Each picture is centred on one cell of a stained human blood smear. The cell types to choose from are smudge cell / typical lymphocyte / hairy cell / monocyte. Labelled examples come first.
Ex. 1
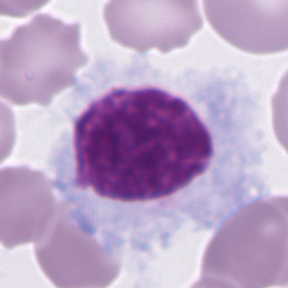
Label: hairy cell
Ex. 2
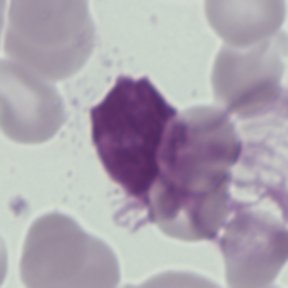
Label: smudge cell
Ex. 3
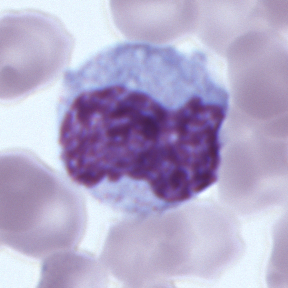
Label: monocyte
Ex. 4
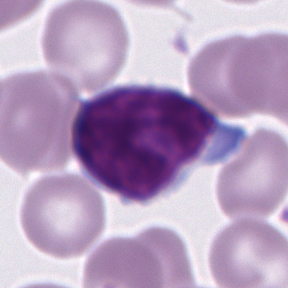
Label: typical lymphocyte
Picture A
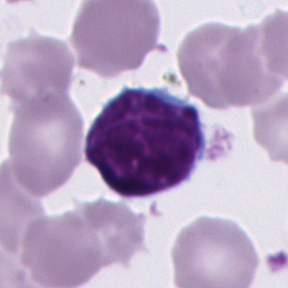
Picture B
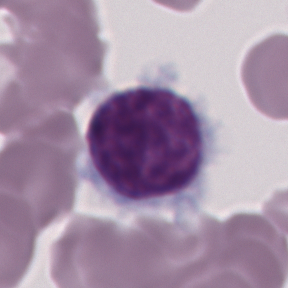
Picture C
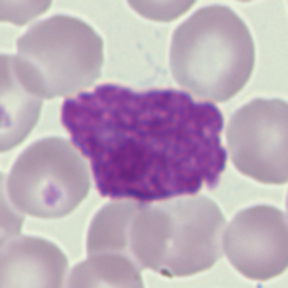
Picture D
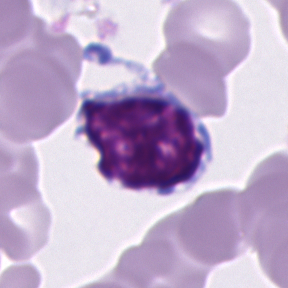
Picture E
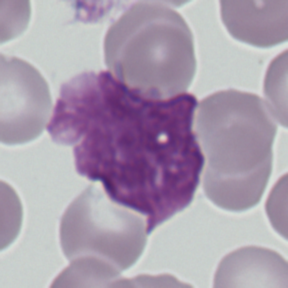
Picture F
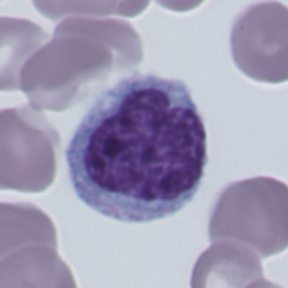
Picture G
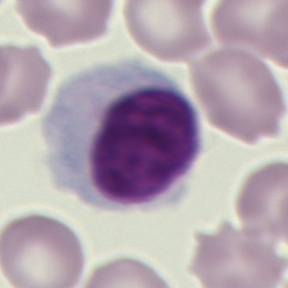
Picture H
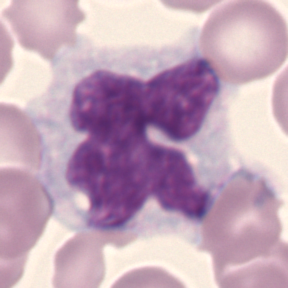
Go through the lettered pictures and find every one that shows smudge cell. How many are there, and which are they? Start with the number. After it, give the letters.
Count: 2 (C, E)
